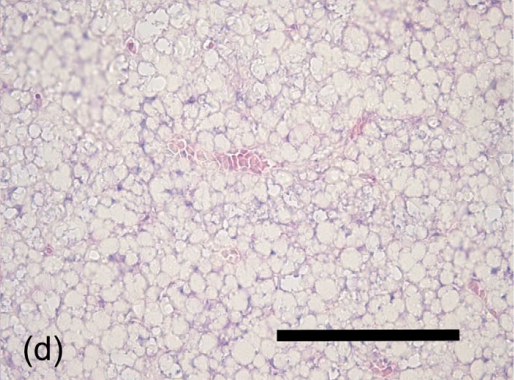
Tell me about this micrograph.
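Liver parenchyma in which the hepatocytes are filled by large clear lipid droplets that appear to merge, giving a pale, foamy field. Cell borders are indistinct and few nuclei are seen, pressed to the edges, with little purple cytoplasm left; a few small vessels with red cells run between.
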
